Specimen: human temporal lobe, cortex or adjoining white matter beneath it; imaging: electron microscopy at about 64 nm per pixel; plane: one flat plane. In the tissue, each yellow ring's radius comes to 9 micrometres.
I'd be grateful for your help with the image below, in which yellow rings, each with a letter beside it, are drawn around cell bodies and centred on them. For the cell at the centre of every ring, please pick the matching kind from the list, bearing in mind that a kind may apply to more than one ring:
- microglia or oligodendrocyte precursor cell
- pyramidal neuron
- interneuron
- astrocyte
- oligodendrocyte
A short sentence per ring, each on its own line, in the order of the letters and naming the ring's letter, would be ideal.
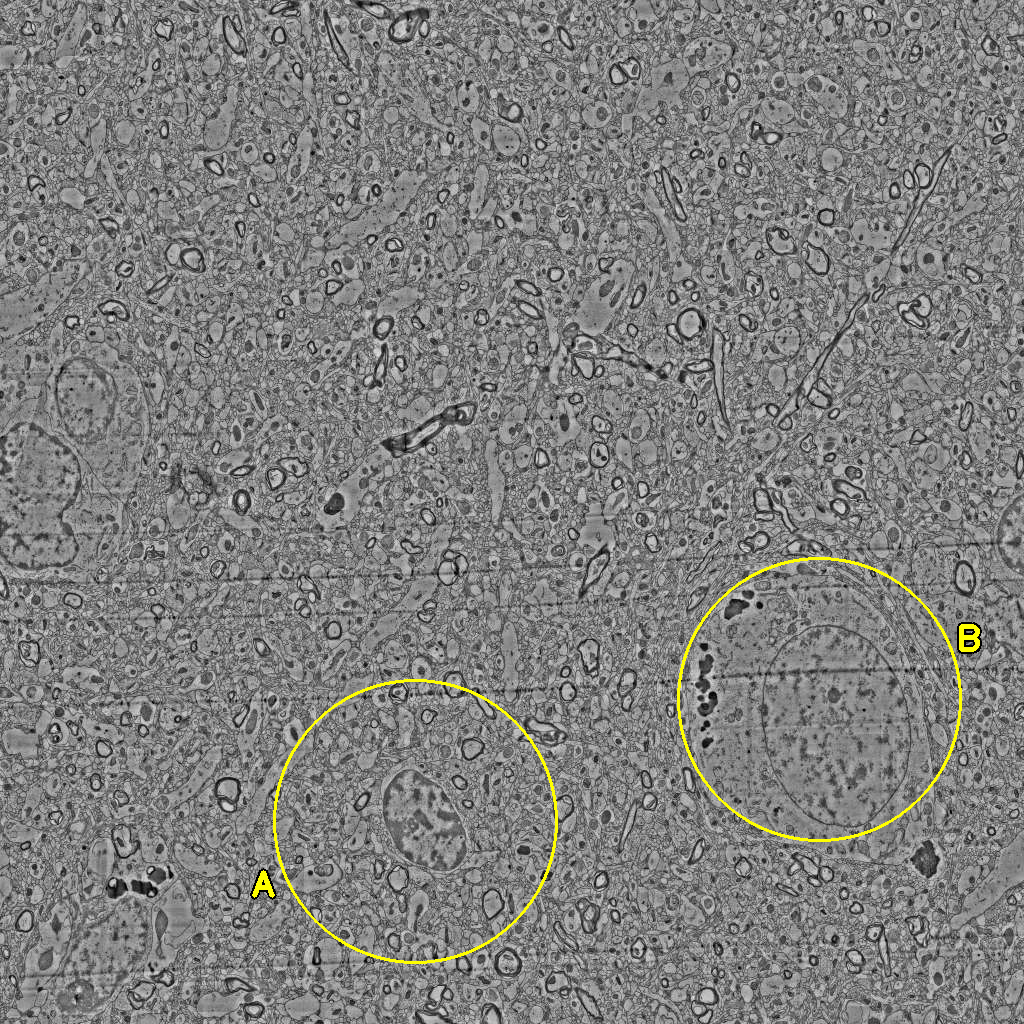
Inside ring A, the central cell is a microglial cell or oligodendrocyte precursor cell.
Inside ring B, the central cell is a pyramidal neuron.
